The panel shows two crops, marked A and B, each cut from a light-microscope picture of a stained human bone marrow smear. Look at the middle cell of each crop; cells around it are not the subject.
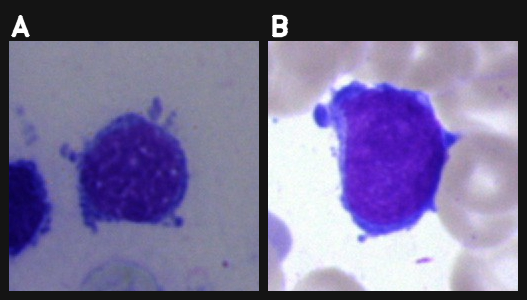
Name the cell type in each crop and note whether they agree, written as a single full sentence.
No, a lymphocyte is shown in crop A and a blast in crop B.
